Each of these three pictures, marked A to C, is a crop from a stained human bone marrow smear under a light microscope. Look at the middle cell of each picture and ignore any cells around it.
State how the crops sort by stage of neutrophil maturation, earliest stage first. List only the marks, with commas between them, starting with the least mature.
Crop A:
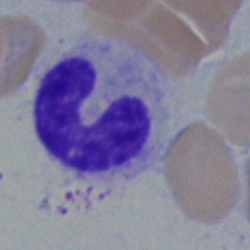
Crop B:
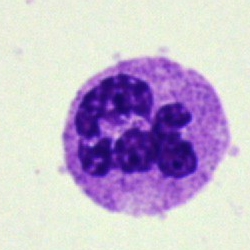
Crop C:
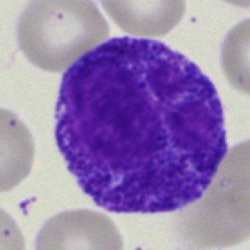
C, A, B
